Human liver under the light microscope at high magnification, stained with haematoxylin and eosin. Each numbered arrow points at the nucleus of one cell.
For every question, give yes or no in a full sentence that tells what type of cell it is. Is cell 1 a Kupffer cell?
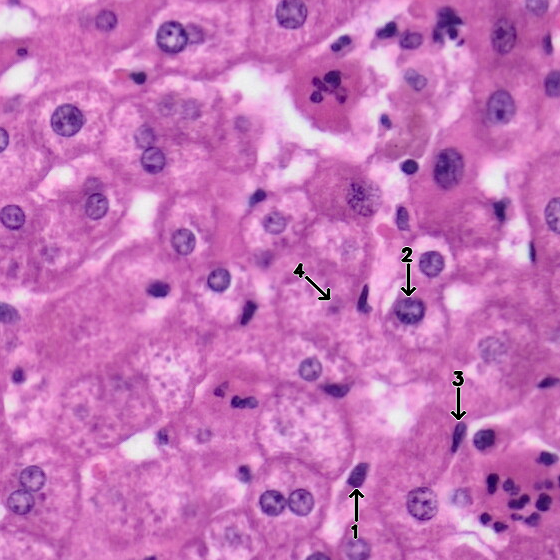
Yes, the cell to which number 1 refers is a Kupffer cell.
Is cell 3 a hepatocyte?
No, the nucleus numbered 3 belongs to a fibroblast or stellate cell, not a hepatocyte.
